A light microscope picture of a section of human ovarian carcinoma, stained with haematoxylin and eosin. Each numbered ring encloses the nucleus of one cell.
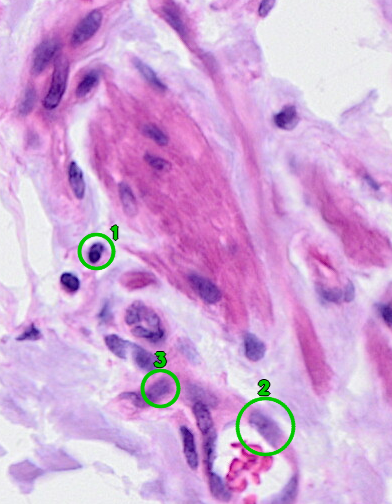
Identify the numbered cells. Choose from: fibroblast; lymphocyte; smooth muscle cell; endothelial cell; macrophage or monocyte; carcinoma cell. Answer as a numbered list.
1. lymphocyte
2. endothelial cell
3. endothelial cell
